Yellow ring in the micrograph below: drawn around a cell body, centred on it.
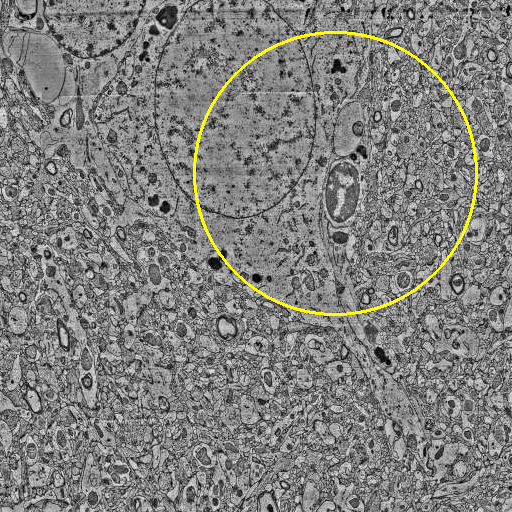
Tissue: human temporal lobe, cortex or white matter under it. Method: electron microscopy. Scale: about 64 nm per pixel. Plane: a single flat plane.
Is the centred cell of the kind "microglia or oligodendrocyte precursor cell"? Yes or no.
yes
